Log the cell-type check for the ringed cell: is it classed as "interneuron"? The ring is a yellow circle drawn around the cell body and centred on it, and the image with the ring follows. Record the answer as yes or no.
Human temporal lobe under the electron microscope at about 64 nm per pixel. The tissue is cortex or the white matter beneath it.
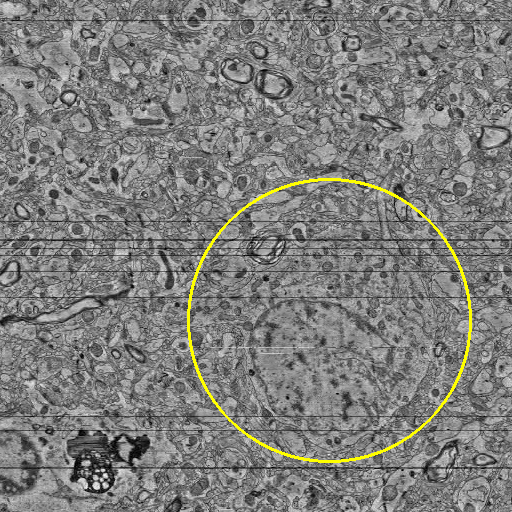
Yes, it is classed that way.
